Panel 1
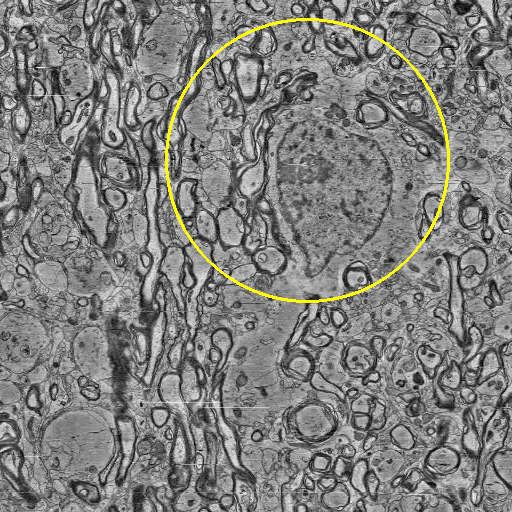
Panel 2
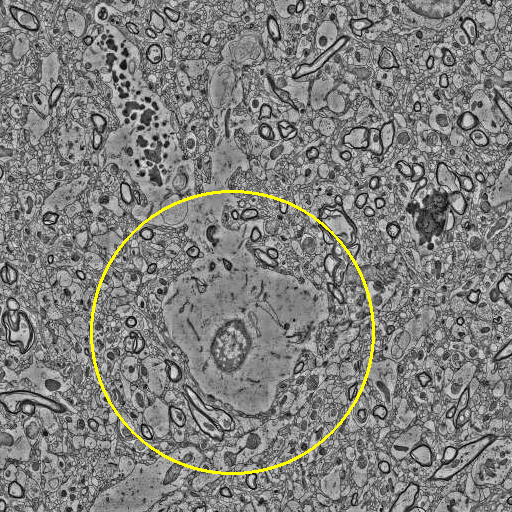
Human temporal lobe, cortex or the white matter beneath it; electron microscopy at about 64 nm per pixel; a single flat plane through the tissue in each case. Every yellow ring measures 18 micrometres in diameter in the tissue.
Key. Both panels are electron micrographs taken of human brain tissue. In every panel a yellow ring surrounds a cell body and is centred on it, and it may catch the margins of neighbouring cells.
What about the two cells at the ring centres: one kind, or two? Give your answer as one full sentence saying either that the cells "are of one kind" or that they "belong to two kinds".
Across Panels 1 and 2, the two cells at the ring centres are of one kind.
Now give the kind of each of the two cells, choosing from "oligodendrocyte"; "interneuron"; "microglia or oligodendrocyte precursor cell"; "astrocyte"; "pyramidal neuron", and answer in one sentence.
Both rings mark an astrocyte, one in each picture.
